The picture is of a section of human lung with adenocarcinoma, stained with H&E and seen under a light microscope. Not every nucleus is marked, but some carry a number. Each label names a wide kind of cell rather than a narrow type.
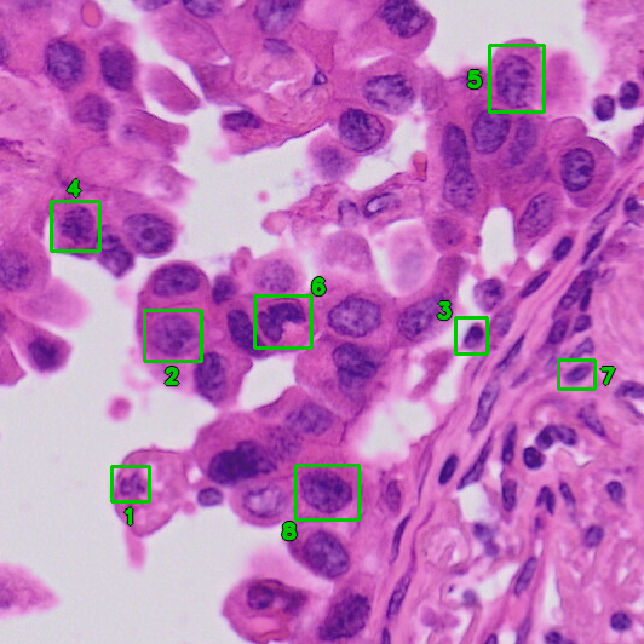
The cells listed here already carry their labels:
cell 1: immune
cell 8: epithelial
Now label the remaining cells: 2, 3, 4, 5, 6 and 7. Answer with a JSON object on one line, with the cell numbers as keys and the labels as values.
{"2": "epithelial", "3": "immune", "4": "epithelial", "5": "epithelial", "6": "epithelial", "7": "immune"}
